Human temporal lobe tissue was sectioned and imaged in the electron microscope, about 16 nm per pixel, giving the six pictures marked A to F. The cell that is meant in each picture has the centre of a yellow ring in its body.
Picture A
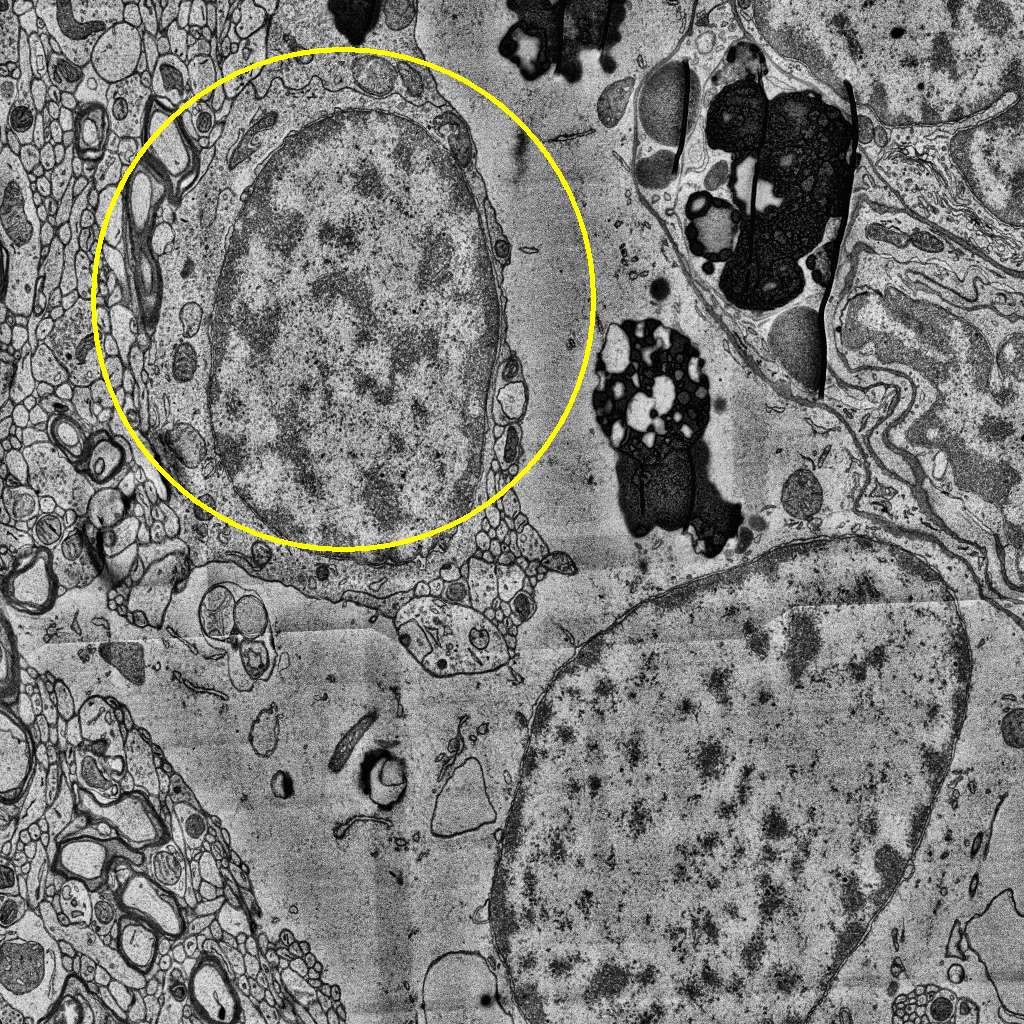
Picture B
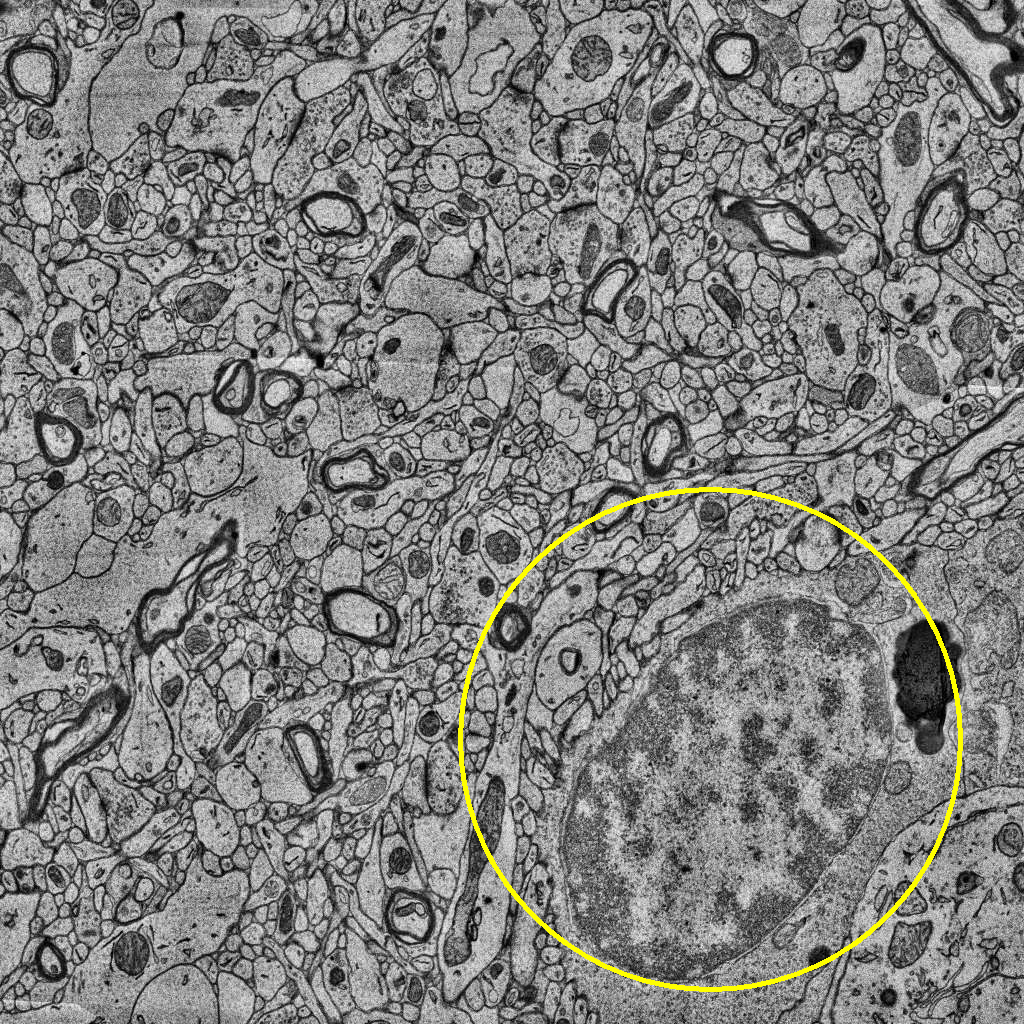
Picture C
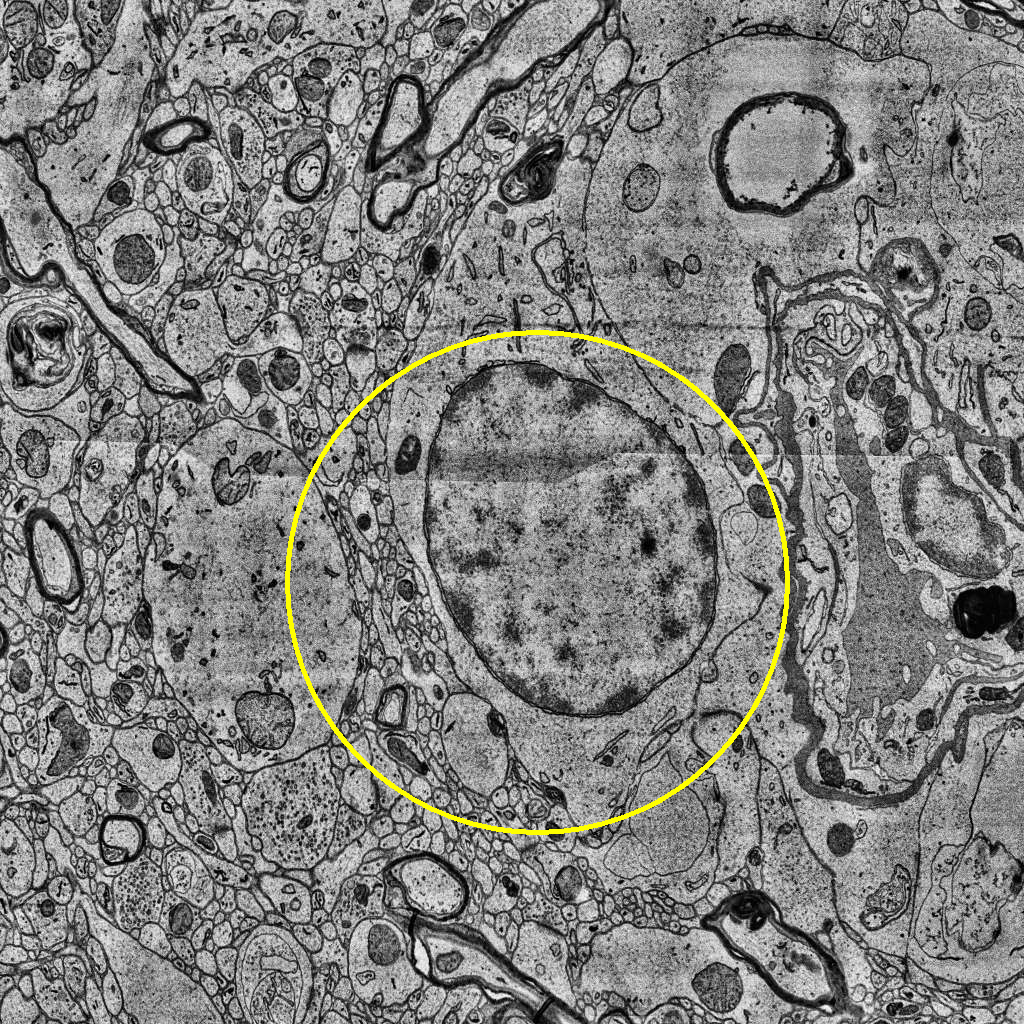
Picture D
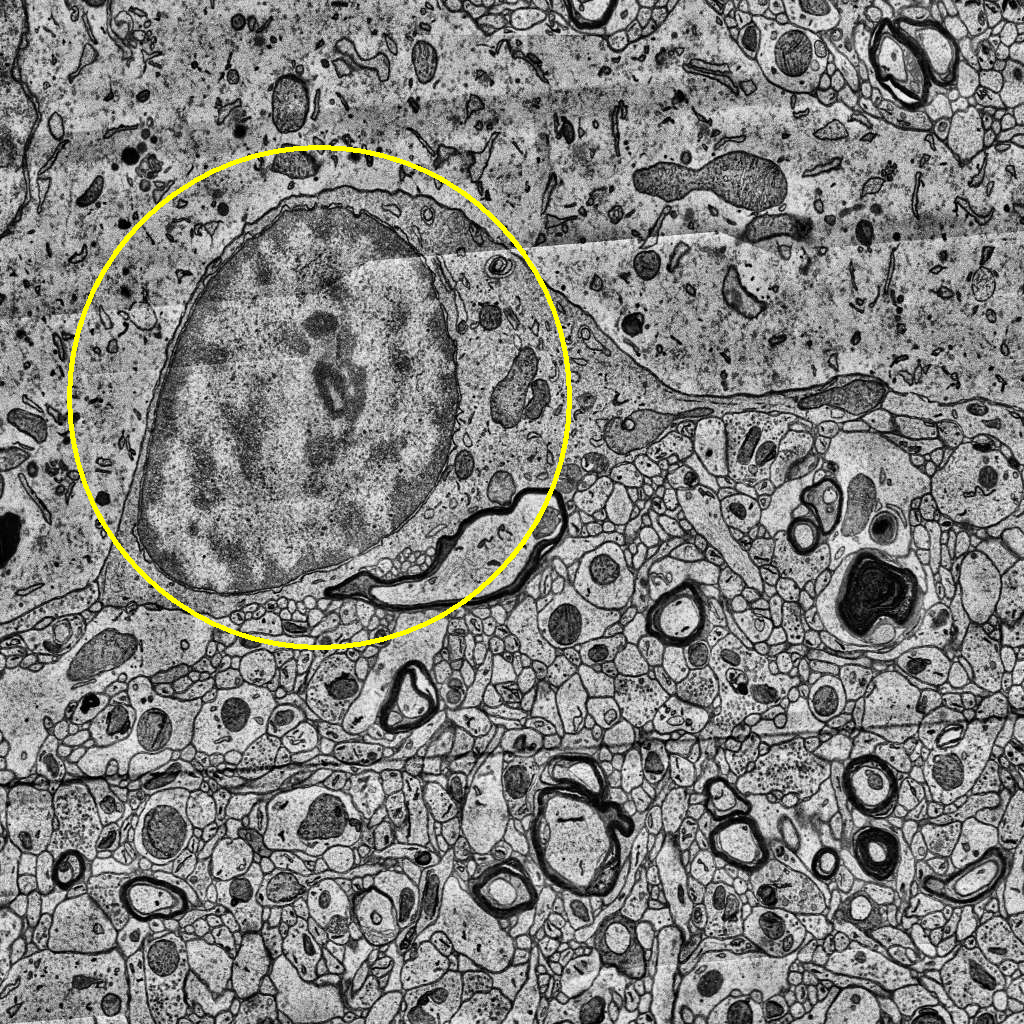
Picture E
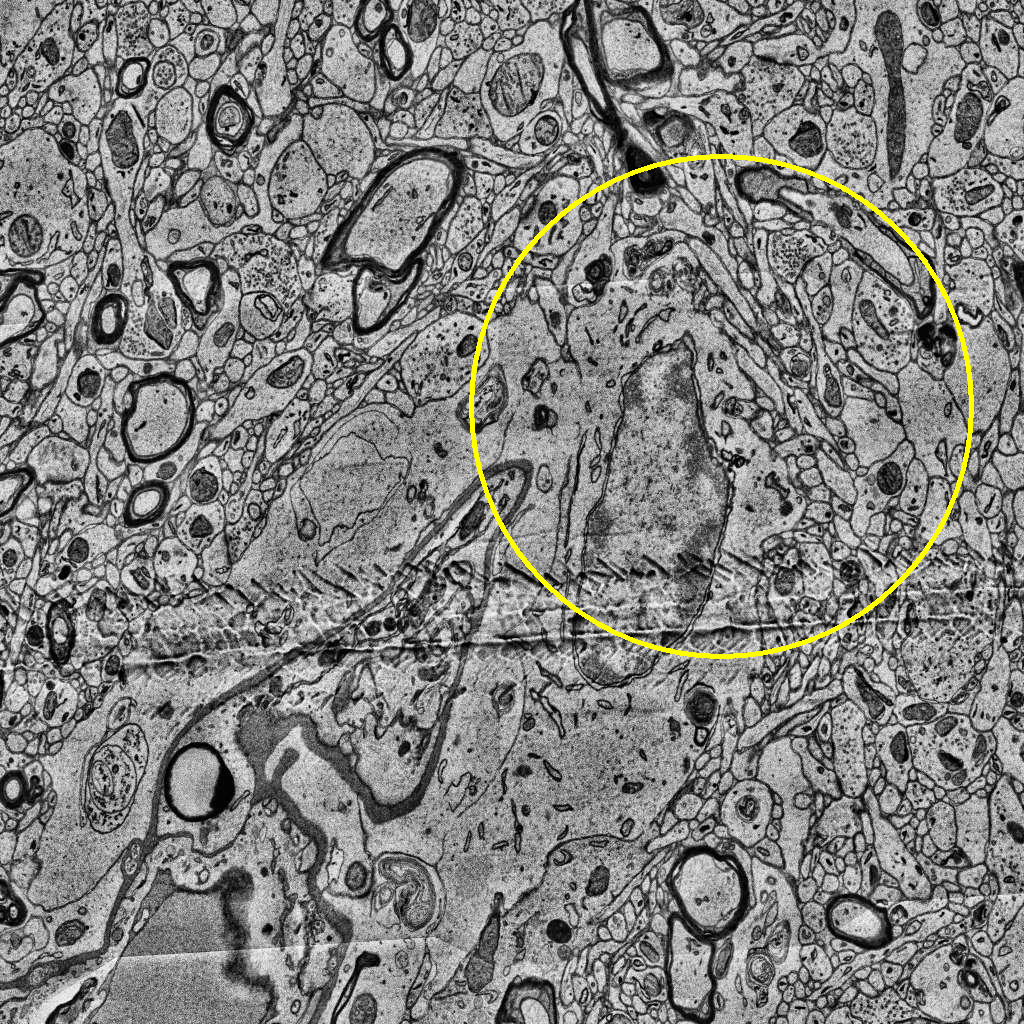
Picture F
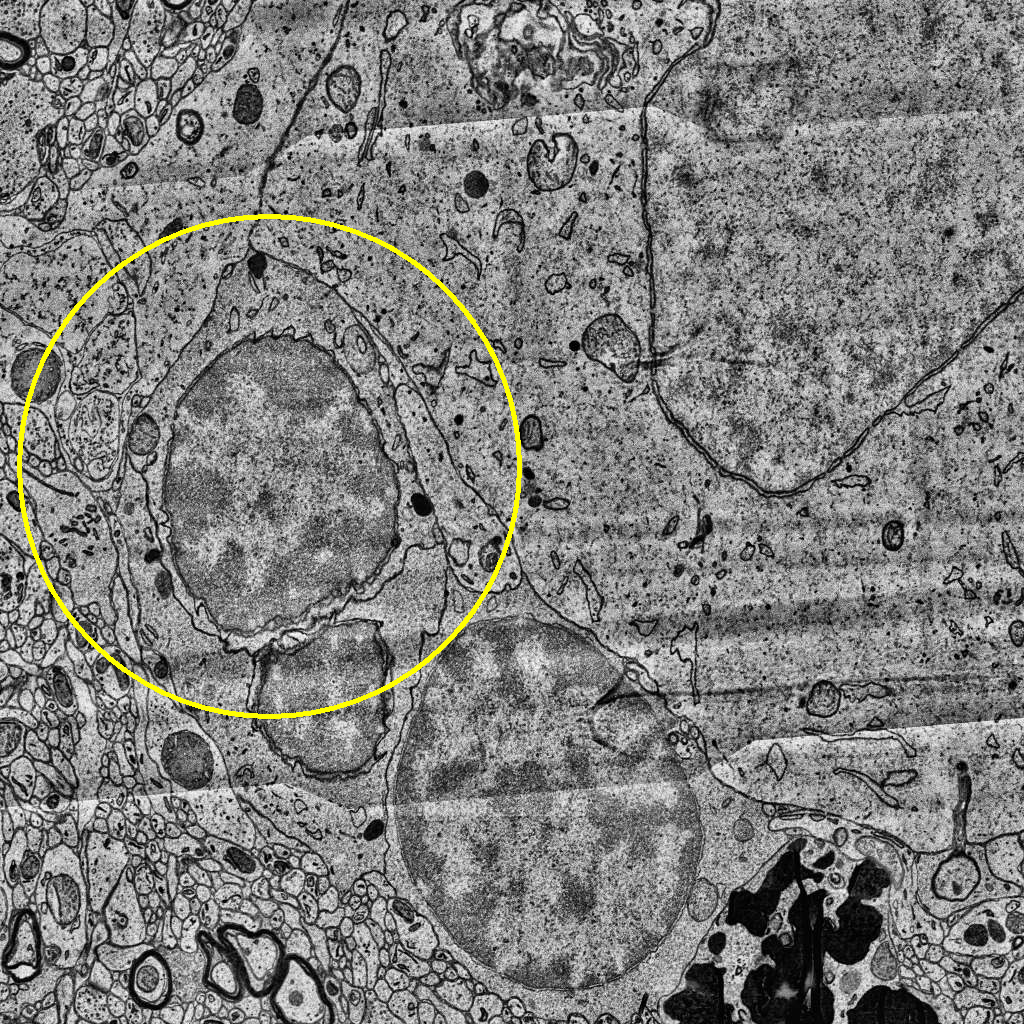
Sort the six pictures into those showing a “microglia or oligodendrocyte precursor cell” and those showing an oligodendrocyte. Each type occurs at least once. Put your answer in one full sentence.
Pictures C and E show “microglia or oligodendrocyte precursor cells”, while pictures A, B, D and F show oligodendrocytes.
